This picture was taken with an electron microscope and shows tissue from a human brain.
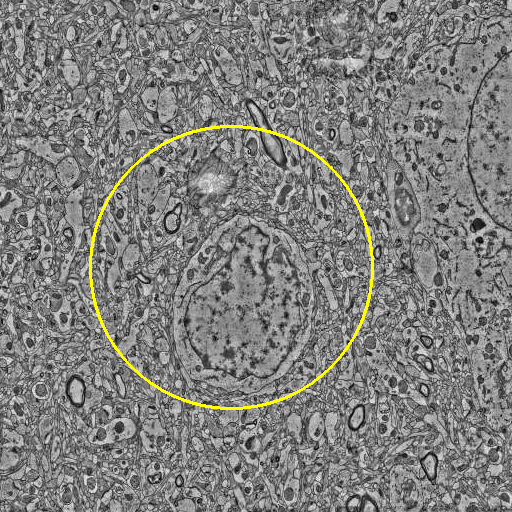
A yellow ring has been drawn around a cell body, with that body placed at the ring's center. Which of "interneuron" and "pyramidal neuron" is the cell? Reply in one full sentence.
In this picture, an interneuron is the cell at the center of the yellow ring.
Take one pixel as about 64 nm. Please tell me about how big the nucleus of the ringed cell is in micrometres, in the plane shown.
The nucleus works out at approximately 10 by 8 micrometres in this plane.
